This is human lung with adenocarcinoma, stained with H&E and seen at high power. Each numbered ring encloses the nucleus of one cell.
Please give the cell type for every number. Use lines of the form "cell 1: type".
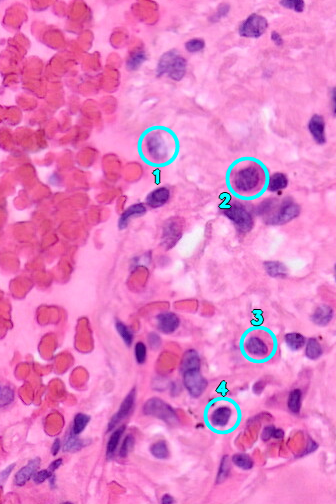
cell 1: fibroblast
cell 2: plasma cell
cell 3: mast cell
cell 4: lymphocyte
